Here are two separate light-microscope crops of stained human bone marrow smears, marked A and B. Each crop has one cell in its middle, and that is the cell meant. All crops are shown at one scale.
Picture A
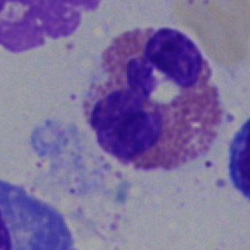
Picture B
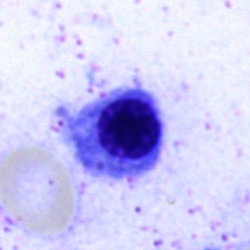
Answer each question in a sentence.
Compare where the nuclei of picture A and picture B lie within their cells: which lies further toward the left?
In picture A the nucleus is shifted more toward the left.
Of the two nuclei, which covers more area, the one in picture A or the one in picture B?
Larger is the nucleus in picture A, at roughly 2 times the area of the other.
